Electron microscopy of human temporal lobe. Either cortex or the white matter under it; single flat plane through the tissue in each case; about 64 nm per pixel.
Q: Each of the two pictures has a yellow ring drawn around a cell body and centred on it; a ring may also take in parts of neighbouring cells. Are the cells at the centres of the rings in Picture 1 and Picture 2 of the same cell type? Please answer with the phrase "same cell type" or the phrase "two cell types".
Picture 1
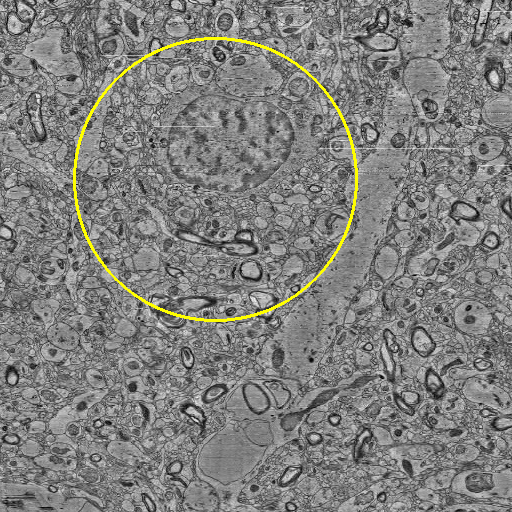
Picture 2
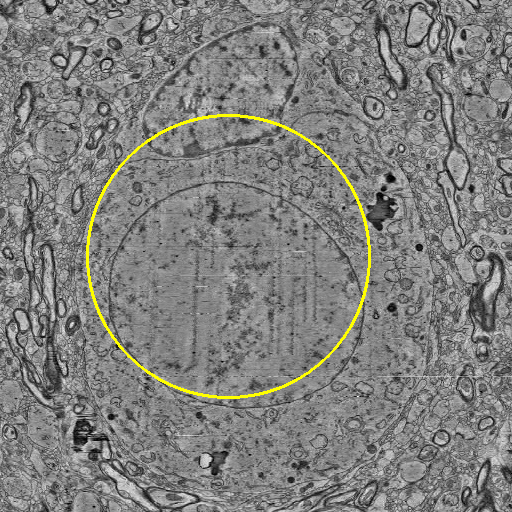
two cell types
